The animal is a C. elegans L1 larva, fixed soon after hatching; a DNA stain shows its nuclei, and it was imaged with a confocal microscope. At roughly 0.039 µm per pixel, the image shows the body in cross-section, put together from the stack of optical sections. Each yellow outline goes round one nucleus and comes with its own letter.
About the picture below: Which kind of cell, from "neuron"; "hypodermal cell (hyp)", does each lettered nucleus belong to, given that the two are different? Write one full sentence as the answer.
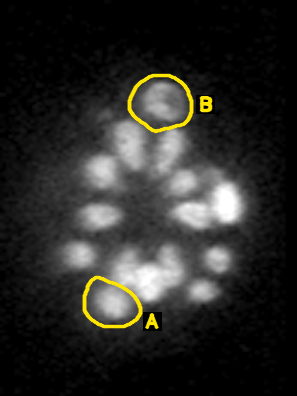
A is in a neuron and B is in a hypodermal cell (hyp).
